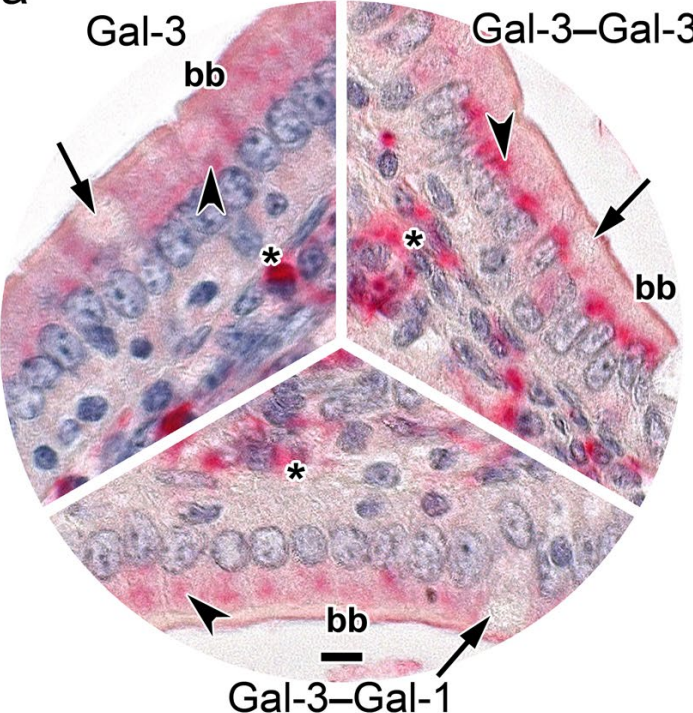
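Three wedges show the villus epithelium of the small intestine, a single layer of tall columnar enterocytes with oval nuclei in a row and a brush border facing the lumen. Pale, unstained goblet cells interrupt the epithelium, and beneath it small immune cells of the lamina propria stand out deep red.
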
